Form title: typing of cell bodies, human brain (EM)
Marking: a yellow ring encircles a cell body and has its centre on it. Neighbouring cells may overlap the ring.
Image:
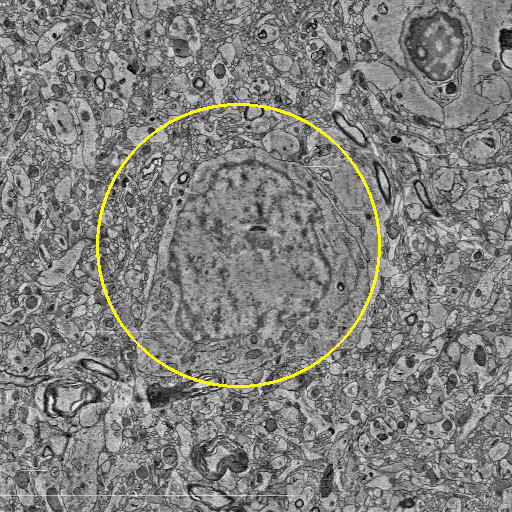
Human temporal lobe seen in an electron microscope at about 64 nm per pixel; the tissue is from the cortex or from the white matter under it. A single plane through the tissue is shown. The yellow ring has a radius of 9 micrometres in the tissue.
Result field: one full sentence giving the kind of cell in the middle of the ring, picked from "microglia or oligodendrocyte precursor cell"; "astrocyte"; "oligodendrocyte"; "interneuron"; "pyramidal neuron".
In the picture, the ring is centred on an interneuron, whose cell body it encircles.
